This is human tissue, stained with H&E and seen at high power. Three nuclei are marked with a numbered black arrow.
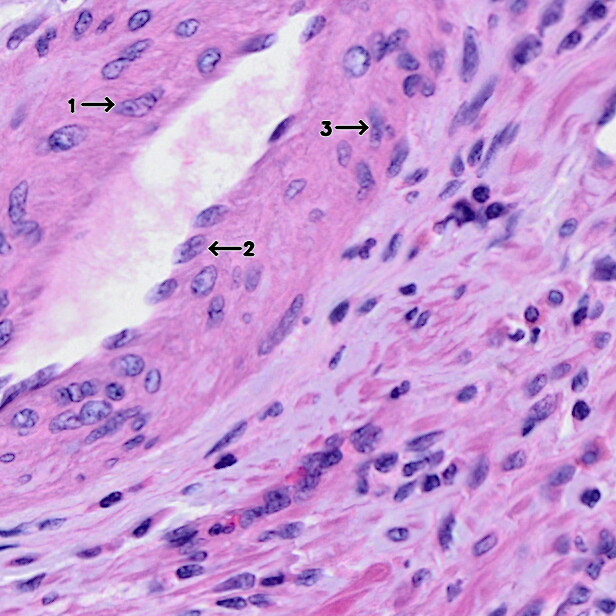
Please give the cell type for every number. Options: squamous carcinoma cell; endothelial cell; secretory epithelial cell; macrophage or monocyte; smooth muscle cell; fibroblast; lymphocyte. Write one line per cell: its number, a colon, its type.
1: smooth muscle cell
2: endothelial cell
3: smooth muscle cell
